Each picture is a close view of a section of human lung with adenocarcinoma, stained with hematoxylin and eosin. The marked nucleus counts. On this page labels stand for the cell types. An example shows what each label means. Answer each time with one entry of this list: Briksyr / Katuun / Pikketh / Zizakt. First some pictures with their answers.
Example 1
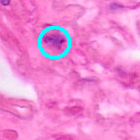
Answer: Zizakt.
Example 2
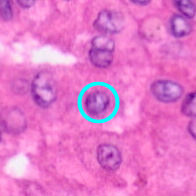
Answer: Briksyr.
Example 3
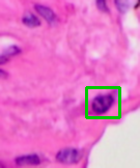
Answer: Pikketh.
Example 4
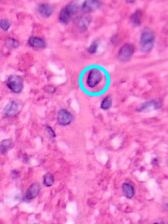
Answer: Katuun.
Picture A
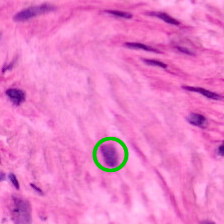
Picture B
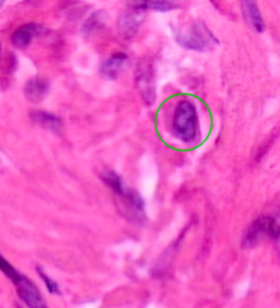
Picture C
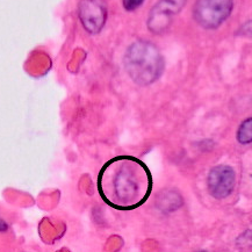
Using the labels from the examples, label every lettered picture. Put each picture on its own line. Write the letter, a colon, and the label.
A: Zizakt.
B: Pikketh.
C: Briksyr.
